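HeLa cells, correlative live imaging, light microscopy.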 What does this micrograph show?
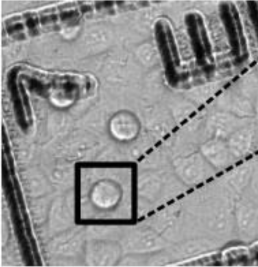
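A low-magnification transmitted-light view shows cultured cells spread over a flat substrate. Dark, thick letter- and line-shaped marks run along the edges, like the patterning of a gridded coverslip. Most cells are flat and faint, with hazy outlines. A few, including the one in the black box, are rounded, compact and refractile with a bright rim. Cells rounded up like this in a culture are typically cells in division.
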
